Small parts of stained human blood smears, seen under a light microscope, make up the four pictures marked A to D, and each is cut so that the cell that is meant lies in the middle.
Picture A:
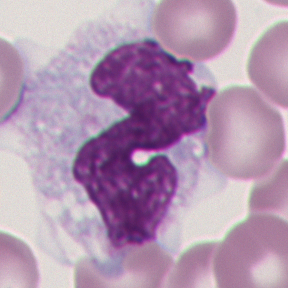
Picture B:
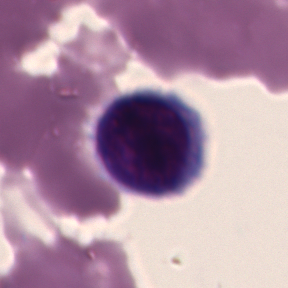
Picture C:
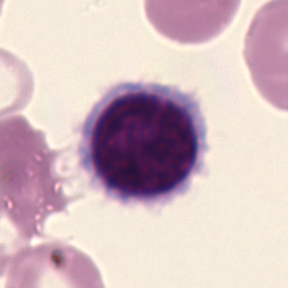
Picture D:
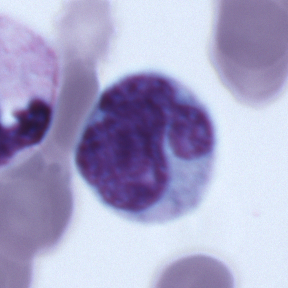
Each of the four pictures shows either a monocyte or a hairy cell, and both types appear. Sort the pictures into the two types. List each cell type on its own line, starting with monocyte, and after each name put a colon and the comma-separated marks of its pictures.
monocyte: A, D
hairy cell: B, C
